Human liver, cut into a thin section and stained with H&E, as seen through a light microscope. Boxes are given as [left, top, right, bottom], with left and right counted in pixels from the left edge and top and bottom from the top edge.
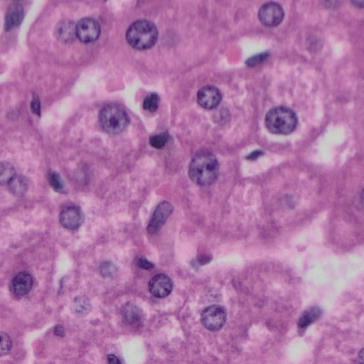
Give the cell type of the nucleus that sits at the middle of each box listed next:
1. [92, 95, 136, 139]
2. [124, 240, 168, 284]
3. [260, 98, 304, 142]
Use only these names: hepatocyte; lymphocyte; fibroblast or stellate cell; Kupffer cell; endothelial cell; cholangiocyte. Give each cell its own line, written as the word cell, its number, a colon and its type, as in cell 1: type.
cell 1: hepatocyte
cell 2: fibroblast or stellate cell
cell 3: hepatocyte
